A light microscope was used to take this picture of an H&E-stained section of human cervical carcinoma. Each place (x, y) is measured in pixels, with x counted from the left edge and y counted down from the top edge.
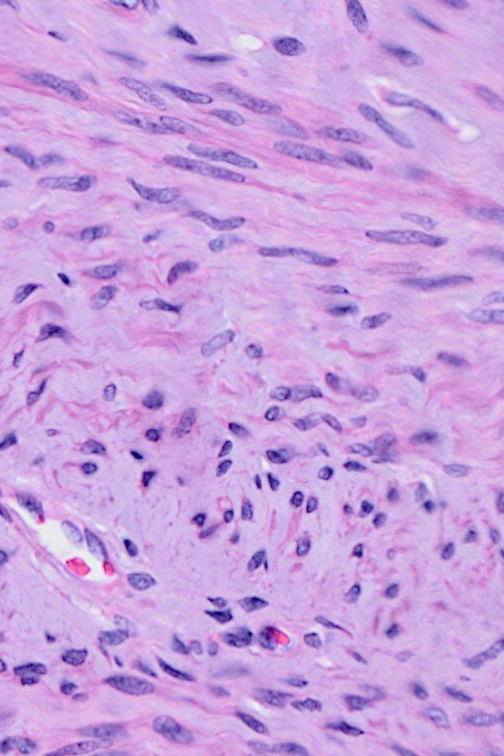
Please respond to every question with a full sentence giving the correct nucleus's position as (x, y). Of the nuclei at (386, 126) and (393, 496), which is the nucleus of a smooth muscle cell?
The nucleus belonging to a smooth muscle cell is the one at (393, 496).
